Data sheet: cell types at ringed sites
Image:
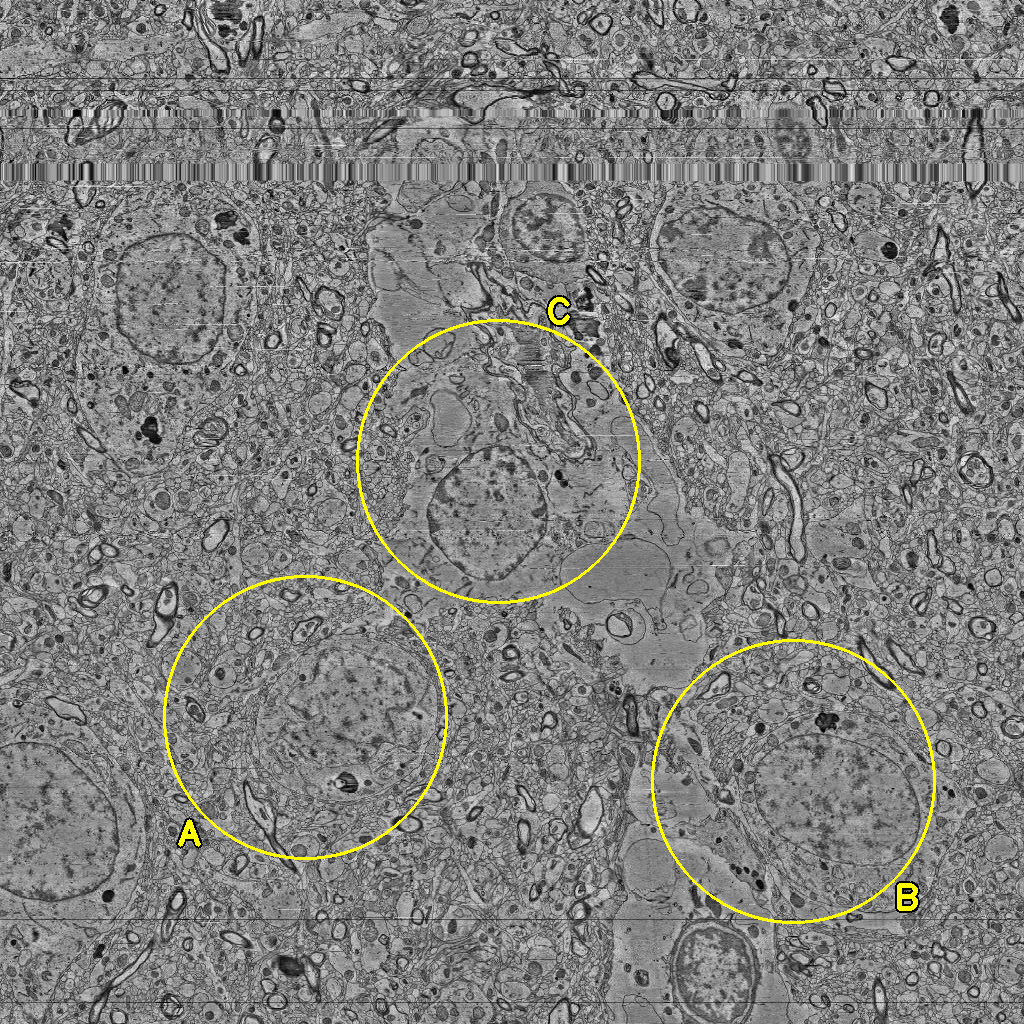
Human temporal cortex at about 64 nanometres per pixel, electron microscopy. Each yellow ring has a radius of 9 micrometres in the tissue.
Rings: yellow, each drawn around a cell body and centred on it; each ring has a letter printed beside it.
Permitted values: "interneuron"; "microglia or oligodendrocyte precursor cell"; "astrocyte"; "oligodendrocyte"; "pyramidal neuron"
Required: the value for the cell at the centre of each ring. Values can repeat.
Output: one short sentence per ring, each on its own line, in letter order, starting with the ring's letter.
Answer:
Ring A has an interneuron at its centre.
Ring B has a pyramidal neuron at its centre.
Ring C has an astrocyte at its centre.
